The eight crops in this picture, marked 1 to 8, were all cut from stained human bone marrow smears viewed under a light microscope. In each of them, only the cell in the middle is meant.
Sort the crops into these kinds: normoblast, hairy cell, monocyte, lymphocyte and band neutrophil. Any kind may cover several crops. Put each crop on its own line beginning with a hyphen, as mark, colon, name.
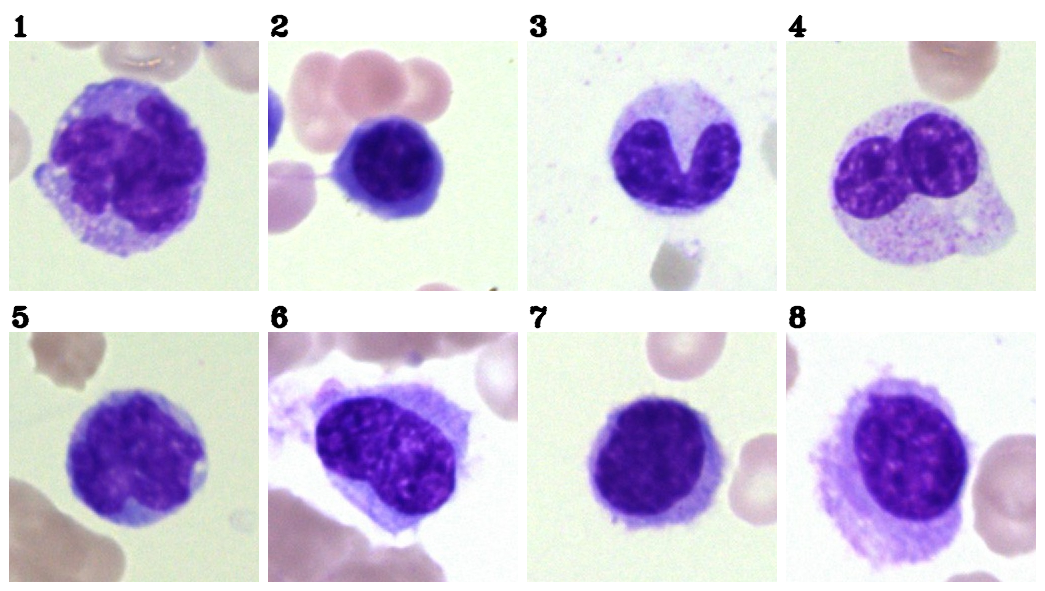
- 1: monocyte
- 2: normoblast
- 3: band neutrophil
- 4: band neutrophil
- 5: monocyte
- 6: hairy cell
- 7: hairy cell
- 8: hairy cell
